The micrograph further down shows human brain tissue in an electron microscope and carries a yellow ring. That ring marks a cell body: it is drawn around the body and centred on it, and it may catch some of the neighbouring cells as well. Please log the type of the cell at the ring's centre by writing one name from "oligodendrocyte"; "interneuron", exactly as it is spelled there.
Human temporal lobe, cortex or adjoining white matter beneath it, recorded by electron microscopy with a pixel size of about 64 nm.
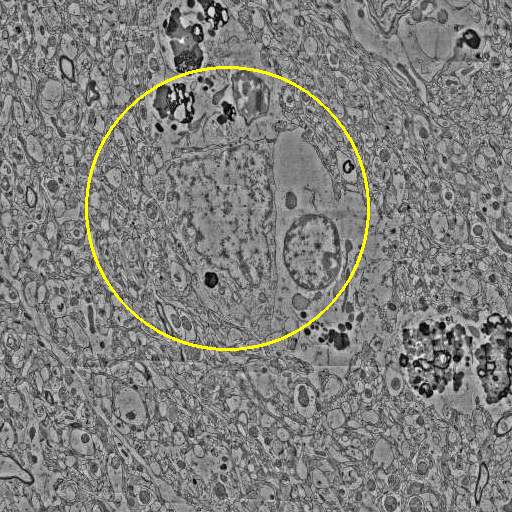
interneuron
